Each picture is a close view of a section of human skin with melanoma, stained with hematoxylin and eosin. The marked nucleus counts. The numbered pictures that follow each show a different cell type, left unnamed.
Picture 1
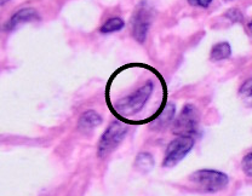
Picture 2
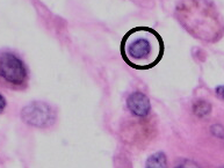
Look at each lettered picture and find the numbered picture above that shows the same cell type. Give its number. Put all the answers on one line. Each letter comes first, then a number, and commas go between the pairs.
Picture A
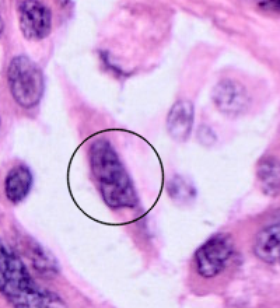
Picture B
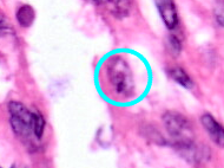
A 1, B 1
